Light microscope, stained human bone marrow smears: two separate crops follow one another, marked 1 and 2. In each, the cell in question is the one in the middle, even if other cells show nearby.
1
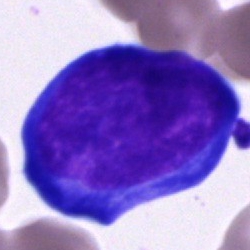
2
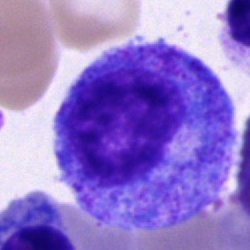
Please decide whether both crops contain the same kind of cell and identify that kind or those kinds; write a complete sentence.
No, crop 1 and crop 2 show a proerythroblast and a promyelocyte respectively.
